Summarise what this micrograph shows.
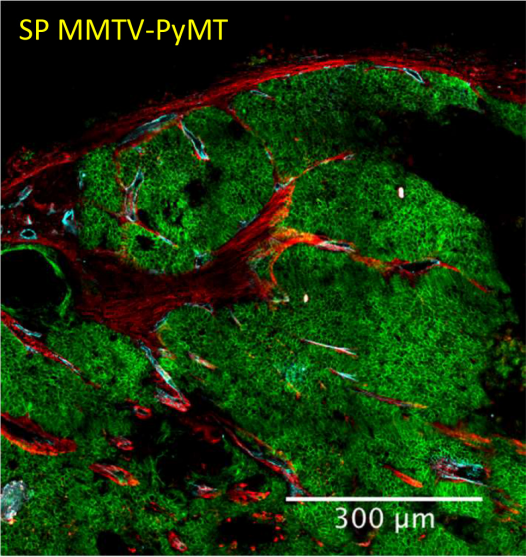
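The stroma appears as red bands: a thick capsule-like band arches across the top, and broad red septa branch between the nests. Within and along these septa run small blood vessels outlined in cyan, often with red strands hugging them. Thin red streaks also penetrate between nests in the lower part. Dark gaps are unstained spaces. The green nests themselves contain little red, so the red marks the stromal compartment.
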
